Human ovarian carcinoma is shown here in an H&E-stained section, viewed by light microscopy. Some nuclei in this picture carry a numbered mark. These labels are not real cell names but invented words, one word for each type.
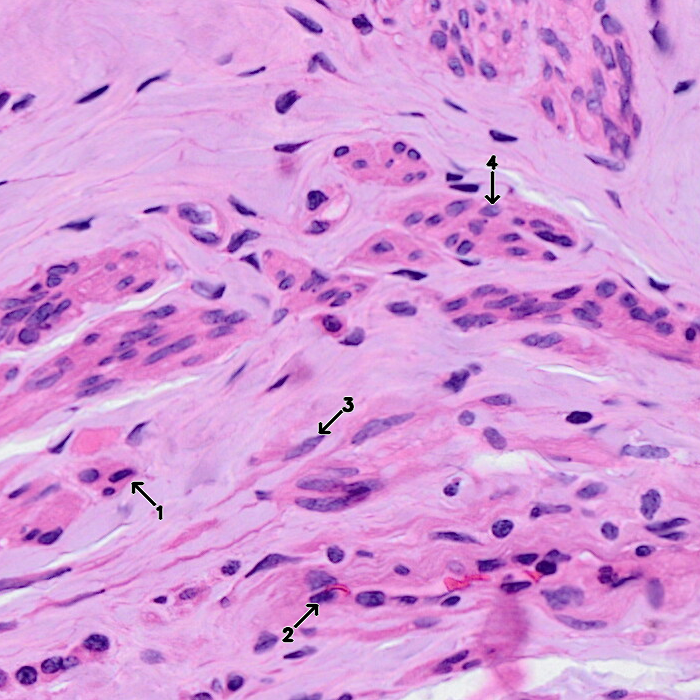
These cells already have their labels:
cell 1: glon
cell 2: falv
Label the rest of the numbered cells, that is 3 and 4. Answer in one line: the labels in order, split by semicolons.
glon; glon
